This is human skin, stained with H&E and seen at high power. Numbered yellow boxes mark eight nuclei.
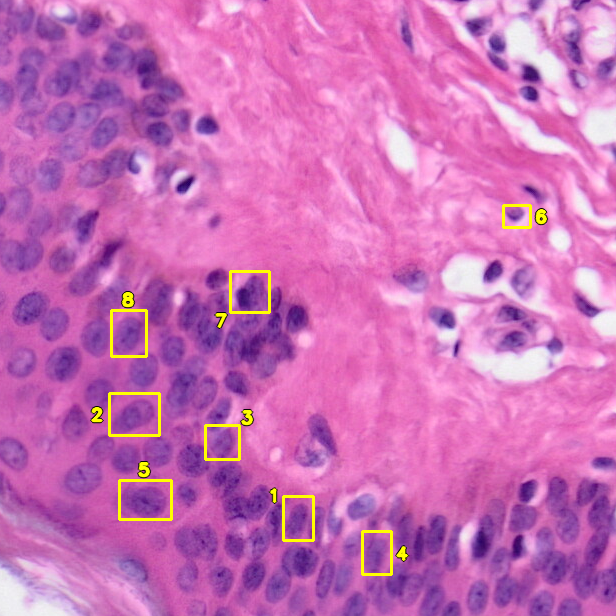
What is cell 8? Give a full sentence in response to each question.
The marked nucleus 8 is that of a suprabasal keratinocyte.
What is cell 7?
The numbered cell 7 in this field is a basal keratinocyte.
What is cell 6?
Of the numbered cells, the one labelled 6 is a fibroblast.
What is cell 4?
Identified as a basal keratinocyte is the cell bearing the number 4.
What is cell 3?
The numeral 3 marks a basal keratinocyte in this section.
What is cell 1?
Of the numbered cells, the one labelled 1 is a basal keratinocyte.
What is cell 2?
Among the marked cells, number 2 is a suprabasal keratinocyte.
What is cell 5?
The cell to which the number 5 is assigned is a suprabasal keratinocyte.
